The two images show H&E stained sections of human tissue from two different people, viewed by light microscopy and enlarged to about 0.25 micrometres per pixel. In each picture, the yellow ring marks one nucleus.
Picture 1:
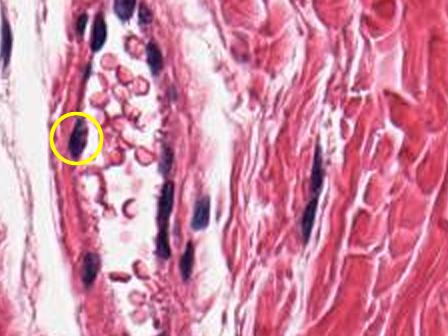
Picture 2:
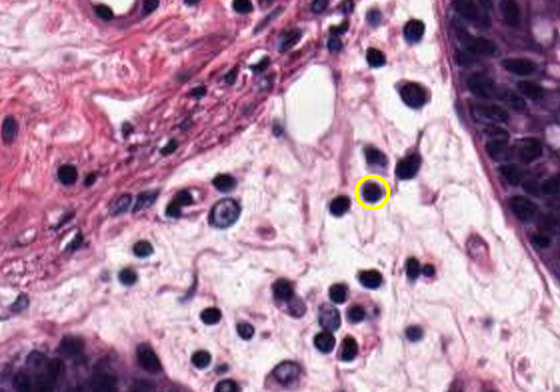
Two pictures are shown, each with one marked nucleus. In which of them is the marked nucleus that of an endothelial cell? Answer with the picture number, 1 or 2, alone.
1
